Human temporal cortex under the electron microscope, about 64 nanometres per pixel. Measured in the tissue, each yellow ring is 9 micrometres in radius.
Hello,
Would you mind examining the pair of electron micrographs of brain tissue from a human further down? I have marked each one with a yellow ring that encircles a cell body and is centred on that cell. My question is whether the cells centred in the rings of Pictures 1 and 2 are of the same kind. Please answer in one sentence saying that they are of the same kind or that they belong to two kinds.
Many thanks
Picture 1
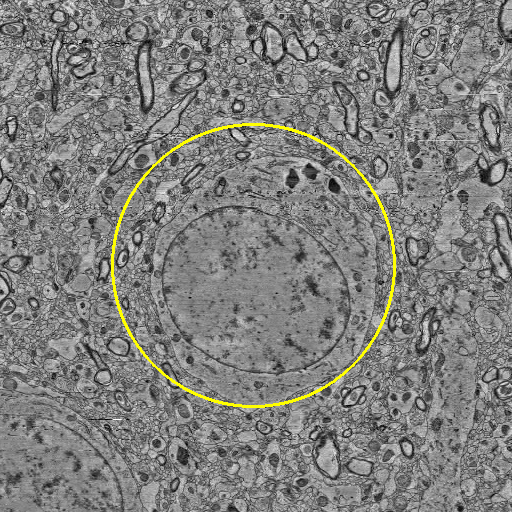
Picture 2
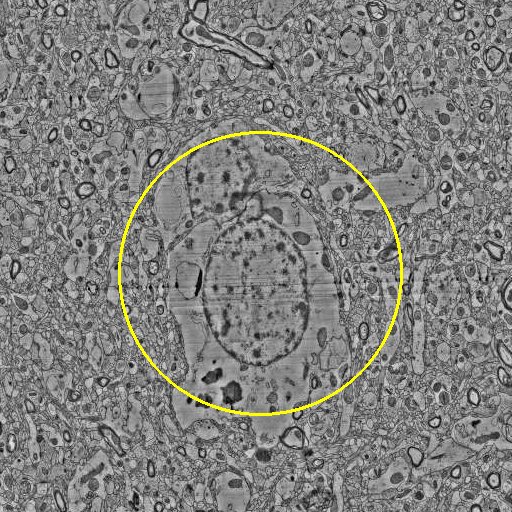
In Pictures 1 and 2, the cells at the heart of the rings belong to two kinds.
